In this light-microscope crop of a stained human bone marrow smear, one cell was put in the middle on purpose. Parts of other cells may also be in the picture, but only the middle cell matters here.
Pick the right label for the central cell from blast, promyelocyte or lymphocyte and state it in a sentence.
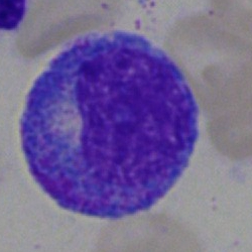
Here the centrally located cell is a promyelocyte.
